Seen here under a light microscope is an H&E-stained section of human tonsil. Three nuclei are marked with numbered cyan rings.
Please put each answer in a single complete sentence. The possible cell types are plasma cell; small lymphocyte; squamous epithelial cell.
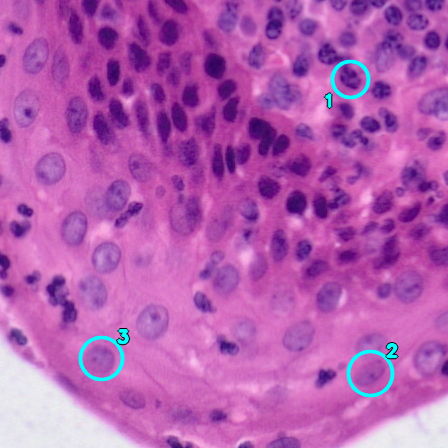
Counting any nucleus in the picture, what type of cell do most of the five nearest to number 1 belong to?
Around number 1, most of the five nearest nuclei are those of plasma cells.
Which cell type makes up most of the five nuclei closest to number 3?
Around number 3, most of the five nearest nuclei are those of squamous epithelial cells.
